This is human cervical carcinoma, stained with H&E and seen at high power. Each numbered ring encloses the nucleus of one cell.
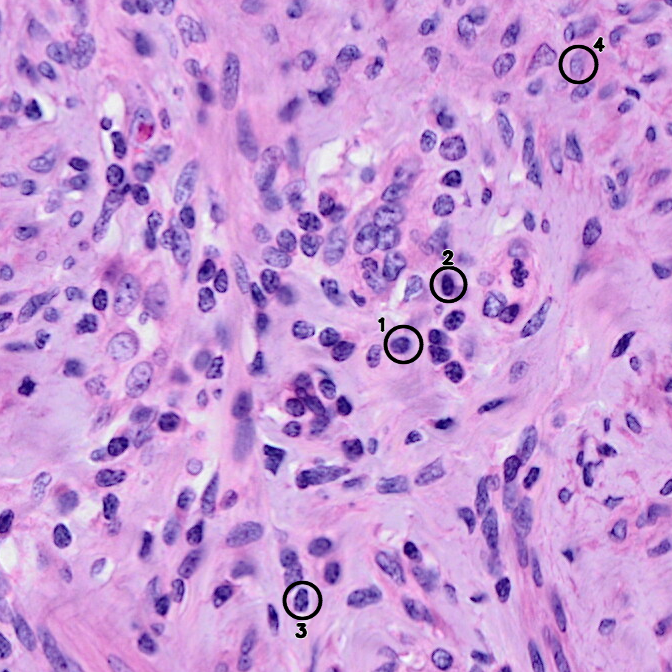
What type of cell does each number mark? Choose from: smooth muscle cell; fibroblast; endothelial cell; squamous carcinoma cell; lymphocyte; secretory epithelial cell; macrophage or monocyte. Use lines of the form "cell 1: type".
cell 1: lymphocyte
cell 2: lymphocyte
cell 3: lymphocyte
cell 4: smooth muscle cell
